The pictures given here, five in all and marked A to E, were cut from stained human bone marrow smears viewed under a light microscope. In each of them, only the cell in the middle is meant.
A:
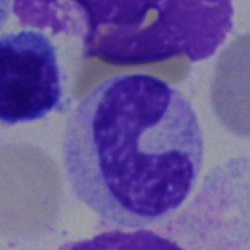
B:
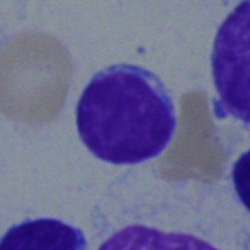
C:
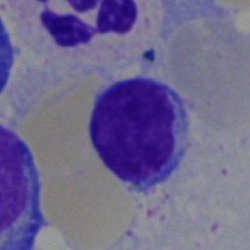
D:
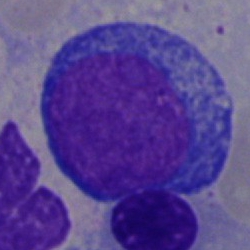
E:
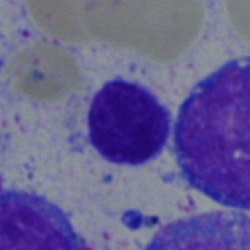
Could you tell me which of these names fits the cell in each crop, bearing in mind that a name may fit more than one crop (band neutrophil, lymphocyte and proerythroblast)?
A: band neutrophil
B: lymphocyte
C: lymphocyte
D: proerythroblast
E: lymphocyte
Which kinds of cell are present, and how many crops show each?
lymphocyte: 3
band neutrophil: 1
proerythroblast: 1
